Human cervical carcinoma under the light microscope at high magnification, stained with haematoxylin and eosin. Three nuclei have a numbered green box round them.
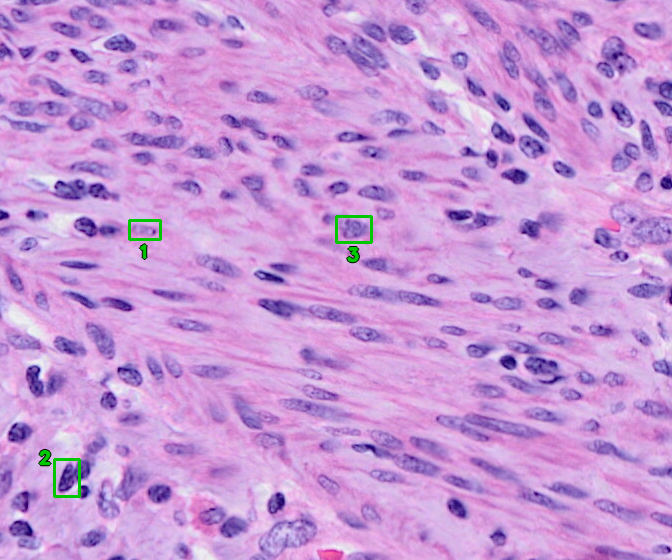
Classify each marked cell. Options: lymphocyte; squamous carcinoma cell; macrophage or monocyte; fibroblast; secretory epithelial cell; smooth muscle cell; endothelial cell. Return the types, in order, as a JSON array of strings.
["smooth muscle cell", "lymphocyte", "smooth muscle cell"]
